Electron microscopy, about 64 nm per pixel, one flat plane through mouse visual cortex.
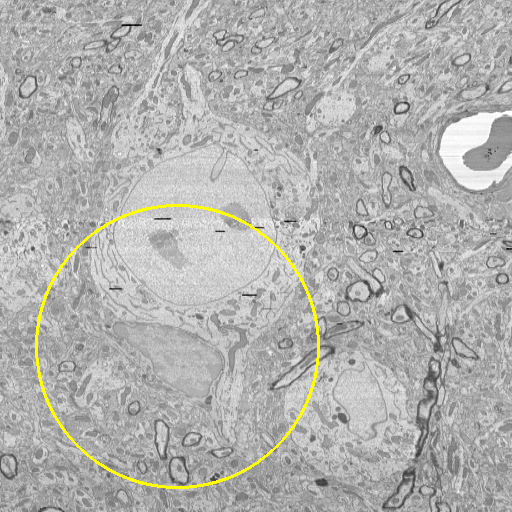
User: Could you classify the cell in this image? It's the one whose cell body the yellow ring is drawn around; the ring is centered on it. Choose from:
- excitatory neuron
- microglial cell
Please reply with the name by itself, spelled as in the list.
microglial cell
